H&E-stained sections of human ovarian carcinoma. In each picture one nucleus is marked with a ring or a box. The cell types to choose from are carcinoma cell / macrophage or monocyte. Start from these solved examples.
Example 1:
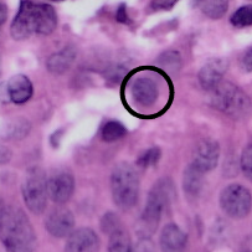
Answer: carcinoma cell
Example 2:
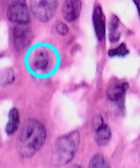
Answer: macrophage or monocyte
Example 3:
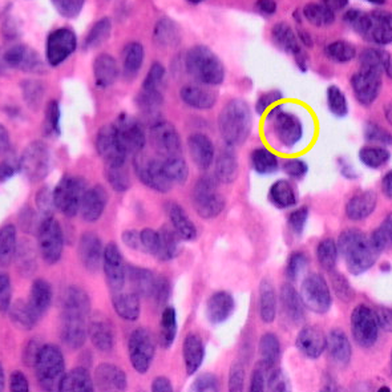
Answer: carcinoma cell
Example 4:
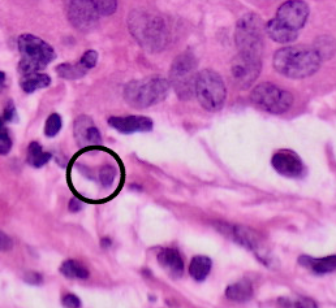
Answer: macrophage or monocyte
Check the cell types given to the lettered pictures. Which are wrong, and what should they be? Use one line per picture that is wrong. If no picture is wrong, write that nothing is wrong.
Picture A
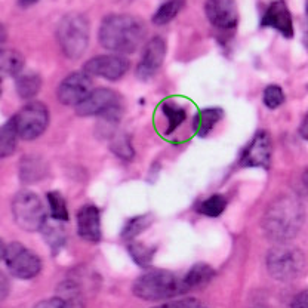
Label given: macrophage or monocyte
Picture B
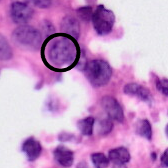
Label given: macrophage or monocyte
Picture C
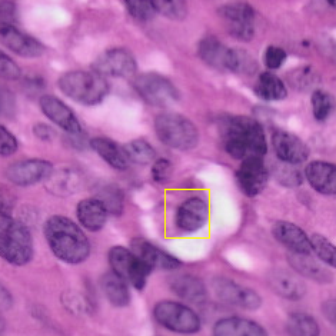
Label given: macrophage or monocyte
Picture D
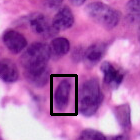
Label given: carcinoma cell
B is labelled macrophage or monocyte; correct label: carcinoma cell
